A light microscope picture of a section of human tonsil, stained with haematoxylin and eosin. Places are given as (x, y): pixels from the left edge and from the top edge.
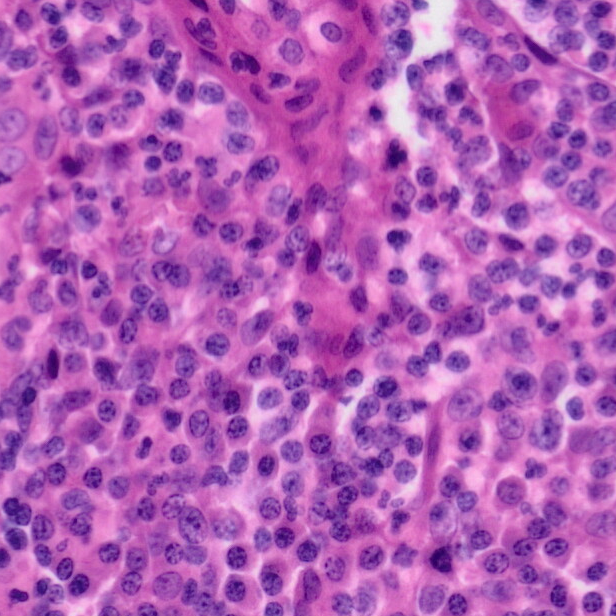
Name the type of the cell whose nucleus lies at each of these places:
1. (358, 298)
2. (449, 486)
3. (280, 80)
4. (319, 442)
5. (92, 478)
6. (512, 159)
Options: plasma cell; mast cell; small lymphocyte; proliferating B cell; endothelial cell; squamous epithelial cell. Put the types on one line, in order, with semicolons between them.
squamous epithelial cell; plasma cell; squamous epithelial cell; plasma cell; plasma cell; squamous epithelial cell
